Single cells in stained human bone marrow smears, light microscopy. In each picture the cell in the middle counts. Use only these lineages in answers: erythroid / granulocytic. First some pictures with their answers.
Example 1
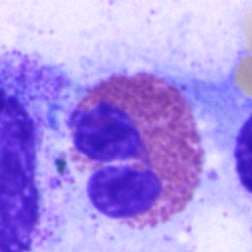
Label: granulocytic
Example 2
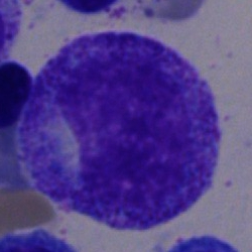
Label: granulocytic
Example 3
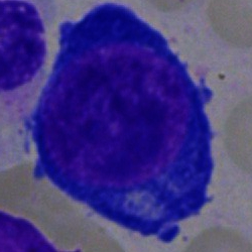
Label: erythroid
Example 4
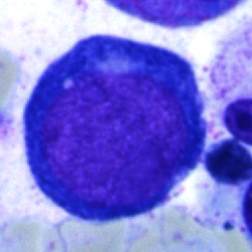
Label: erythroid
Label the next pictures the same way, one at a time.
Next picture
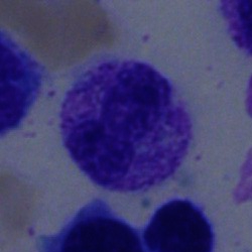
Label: granulocytic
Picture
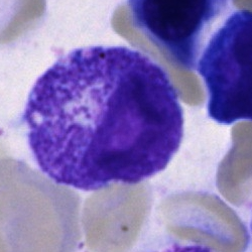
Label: granulocytic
